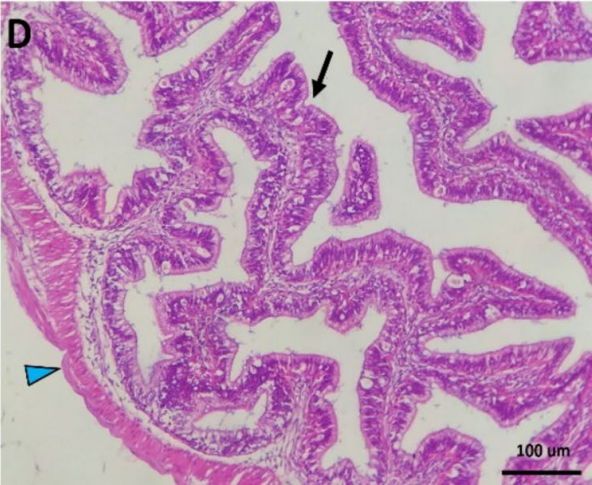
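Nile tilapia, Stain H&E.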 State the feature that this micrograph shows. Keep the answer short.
Intestinal villi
